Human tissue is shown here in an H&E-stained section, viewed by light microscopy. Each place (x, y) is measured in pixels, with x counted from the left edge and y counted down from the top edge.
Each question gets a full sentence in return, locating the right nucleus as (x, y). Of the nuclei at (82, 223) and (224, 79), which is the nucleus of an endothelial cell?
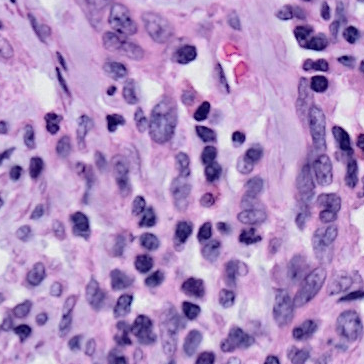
Belonging to an endothelial cell is the nucleus at (224, 79).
